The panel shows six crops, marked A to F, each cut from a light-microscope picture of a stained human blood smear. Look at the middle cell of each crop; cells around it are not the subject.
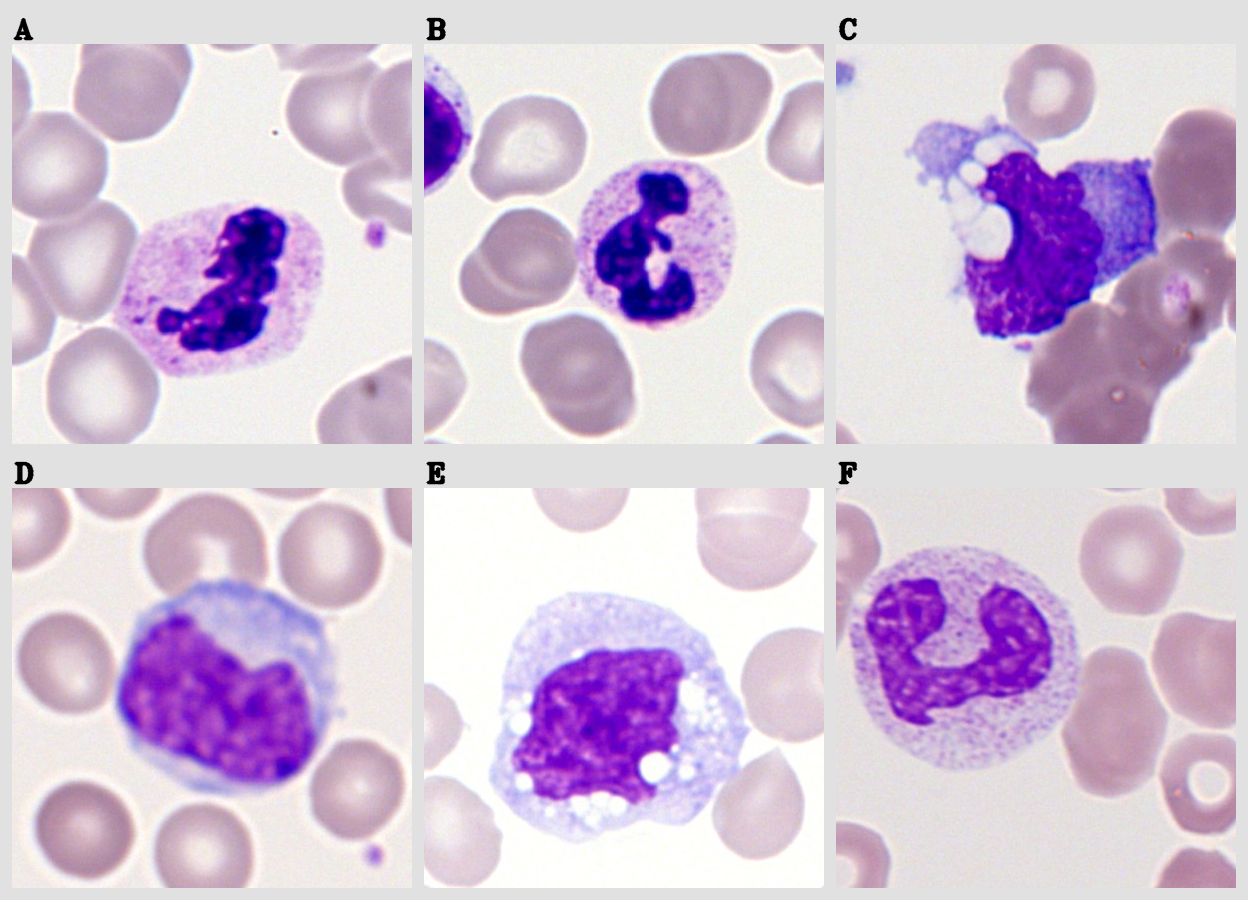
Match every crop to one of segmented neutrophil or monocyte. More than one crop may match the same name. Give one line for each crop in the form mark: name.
A: segmented neutrophil
B: segmented neutrophil
C: monocyte
D: monocyte
E: monocyte
F: segmented neutrophil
